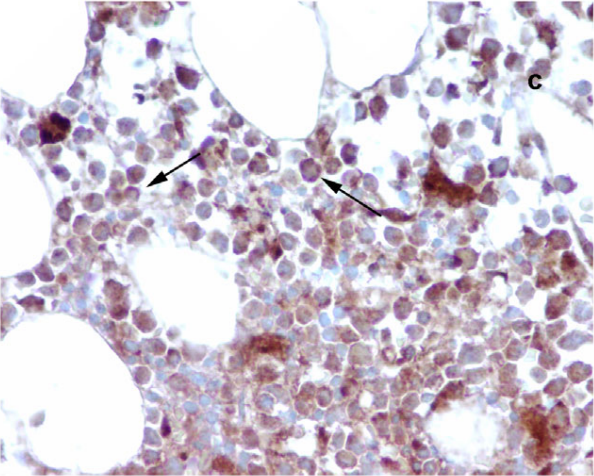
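Bone marrow in which densely packed small round hematopoietic cells fill the spaces between large, empty, round fat cells. Most of the marrow cells carry a brown stain distributed through their cytoplasm, often forming a rim around a paler centre. A few larger cells with abundant cytoplasm are stained deep brown. Scattered cells with little brown colour appear bluish. The cells lie in sheets without obvious layering.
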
